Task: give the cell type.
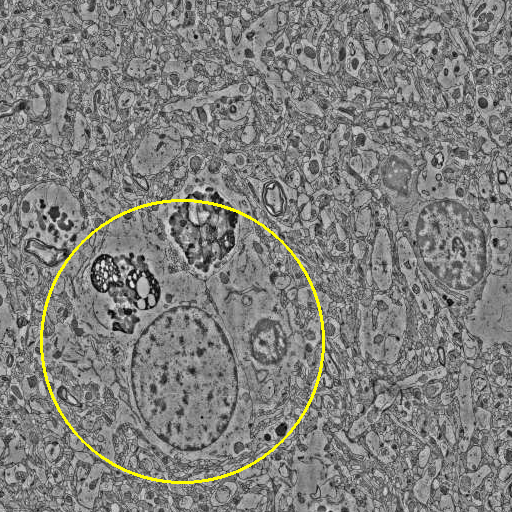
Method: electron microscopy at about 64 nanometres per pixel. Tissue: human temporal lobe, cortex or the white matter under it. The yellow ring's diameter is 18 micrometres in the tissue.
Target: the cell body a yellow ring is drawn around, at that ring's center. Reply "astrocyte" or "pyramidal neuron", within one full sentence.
In this picture, the cell whose body lies at the ring's center is an astrocyte.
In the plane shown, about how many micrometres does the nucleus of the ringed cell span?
In this plane, approximately 9 by 7 micrometers.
